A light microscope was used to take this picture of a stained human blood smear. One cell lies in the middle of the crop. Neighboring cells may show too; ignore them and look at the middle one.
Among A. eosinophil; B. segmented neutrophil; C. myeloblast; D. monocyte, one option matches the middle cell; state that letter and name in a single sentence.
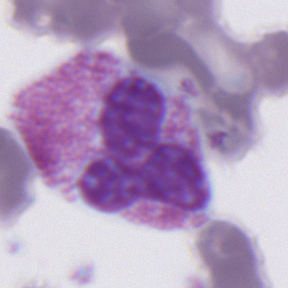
What sits in the middle of the crop is an eosinophil, and option A is correct.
